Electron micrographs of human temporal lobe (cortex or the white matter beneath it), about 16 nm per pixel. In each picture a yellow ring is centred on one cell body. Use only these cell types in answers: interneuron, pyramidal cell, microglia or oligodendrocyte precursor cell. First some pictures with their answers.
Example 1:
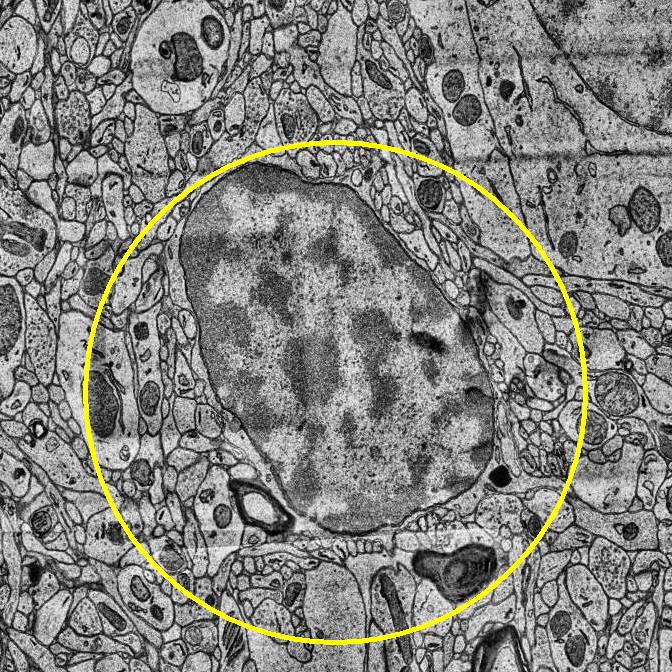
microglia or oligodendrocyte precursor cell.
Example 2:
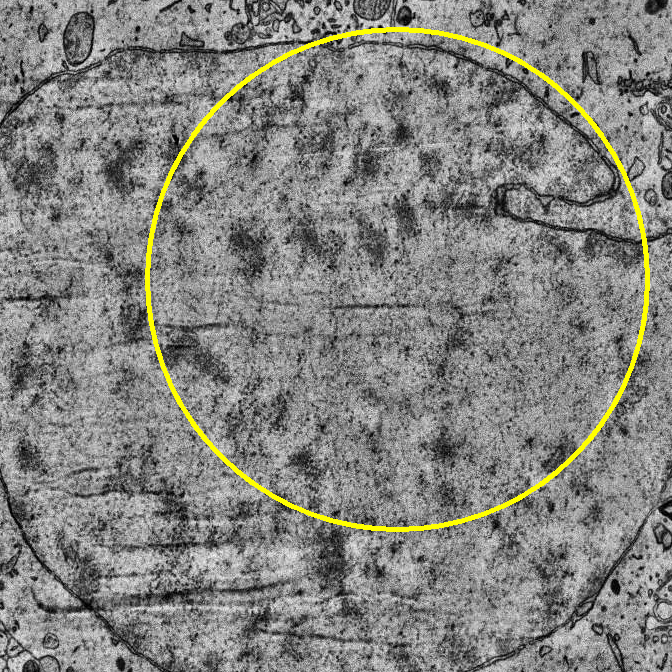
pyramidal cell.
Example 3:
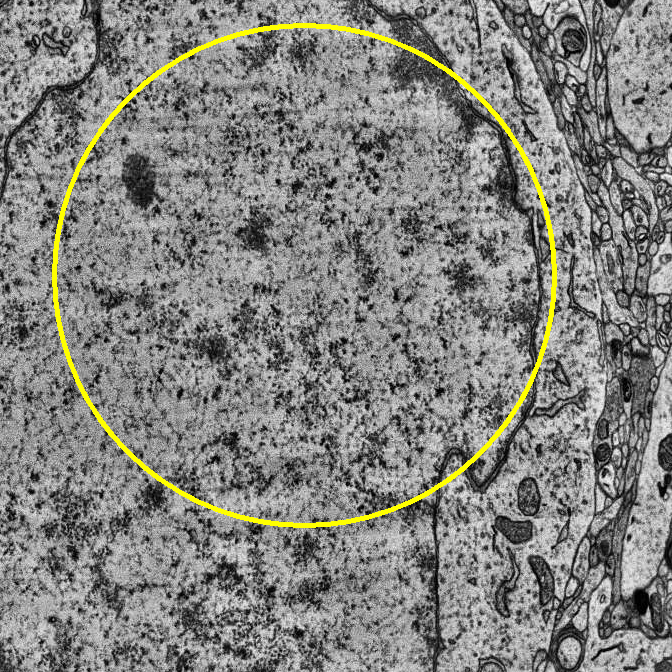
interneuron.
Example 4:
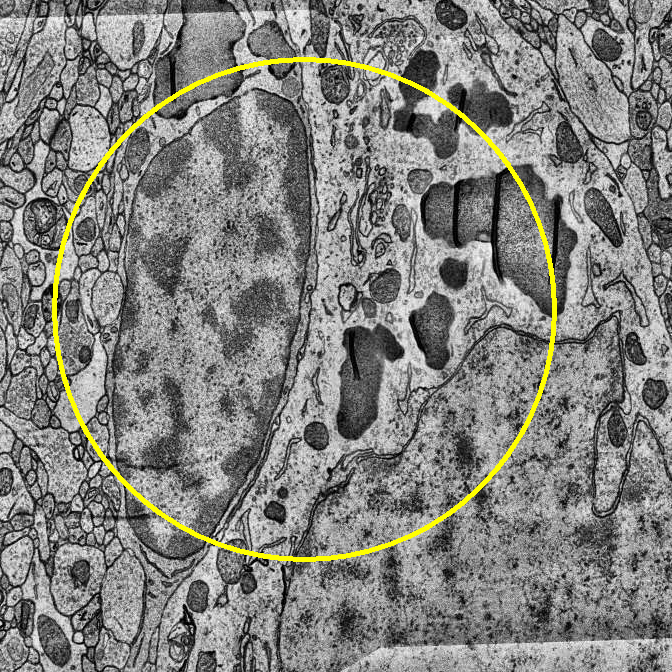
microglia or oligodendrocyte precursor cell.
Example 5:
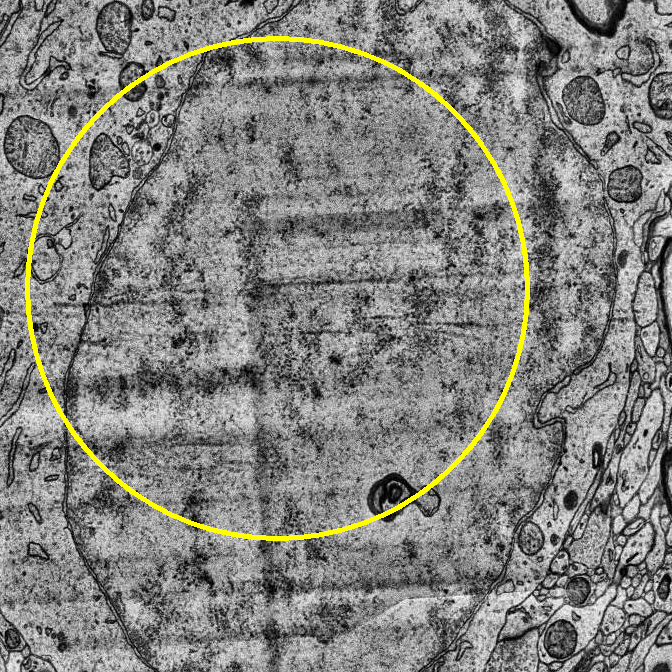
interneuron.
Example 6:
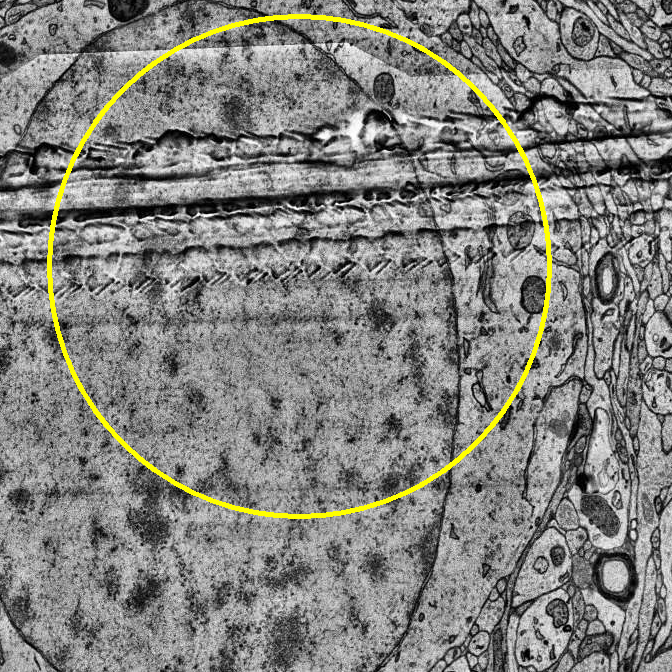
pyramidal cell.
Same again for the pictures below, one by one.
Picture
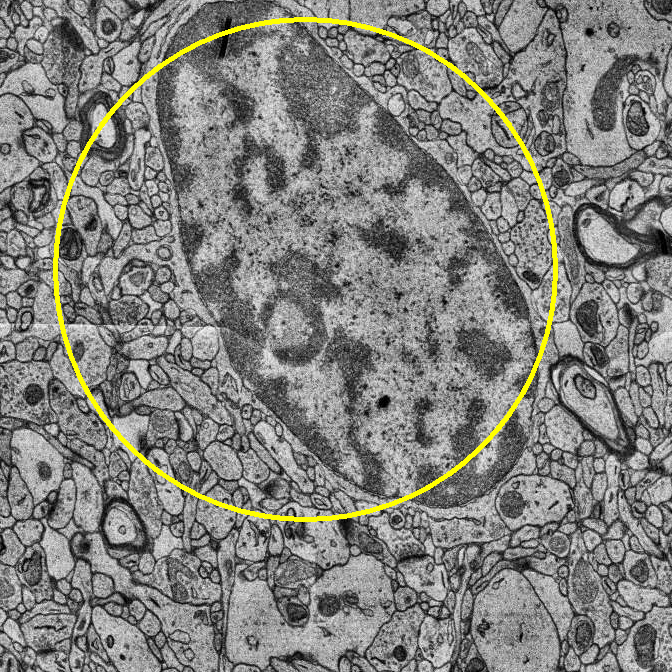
microglia or oligodendrocyte precursor cell.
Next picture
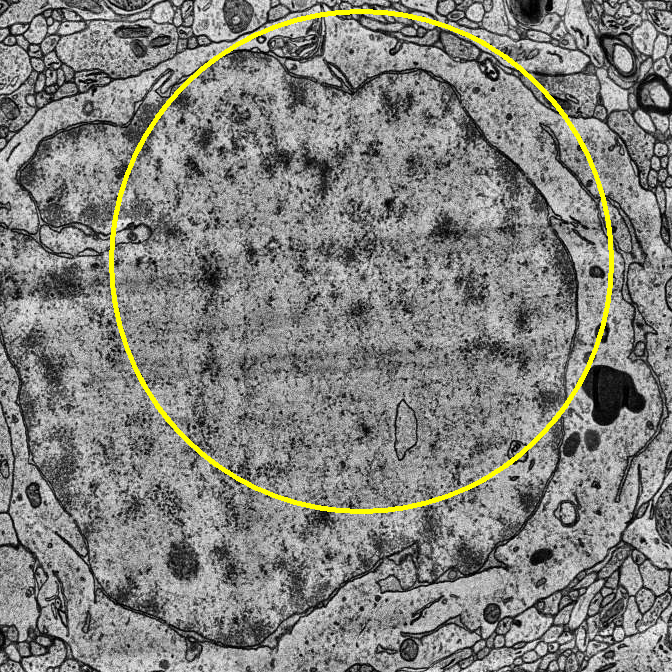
interneuron.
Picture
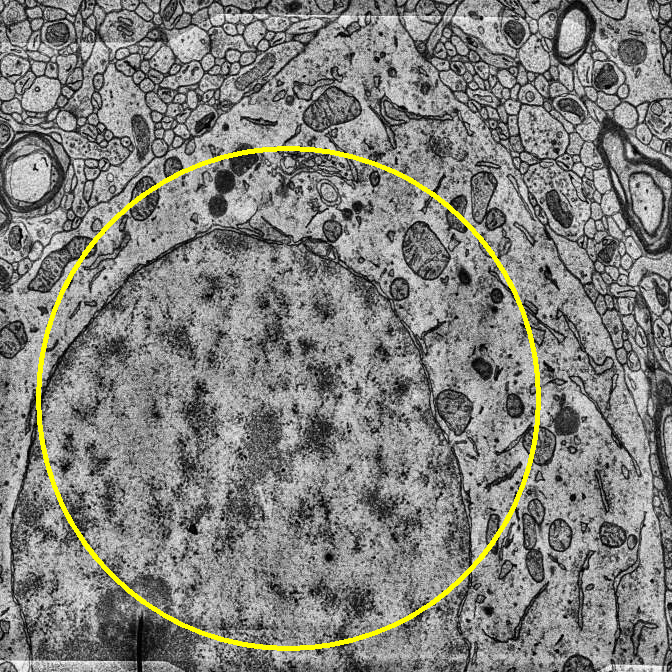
interneuron.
